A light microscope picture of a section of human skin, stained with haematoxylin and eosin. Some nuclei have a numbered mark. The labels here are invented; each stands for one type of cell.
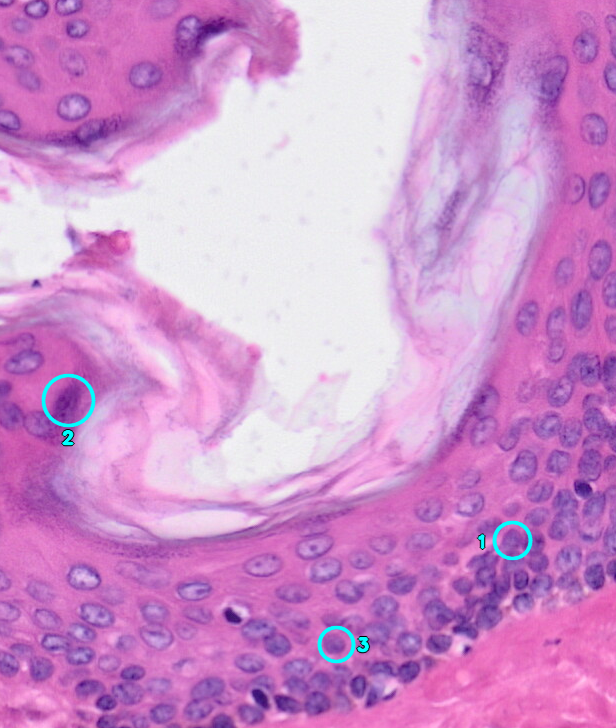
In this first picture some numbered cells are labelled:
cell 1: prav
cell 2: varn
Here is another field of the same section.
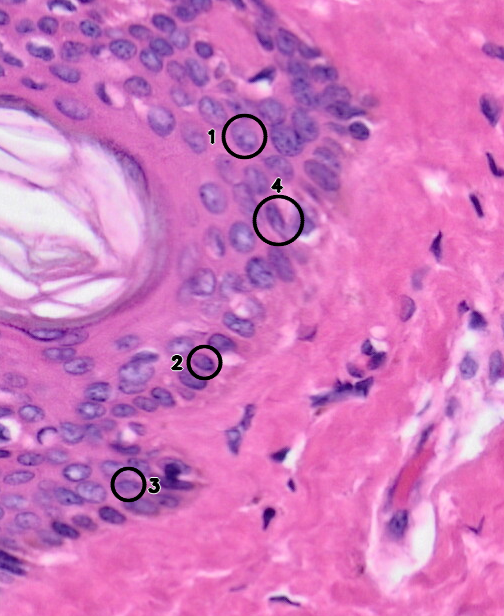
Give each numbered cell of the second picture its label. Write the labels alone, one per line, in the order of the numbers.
varn
prav
prav
prav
